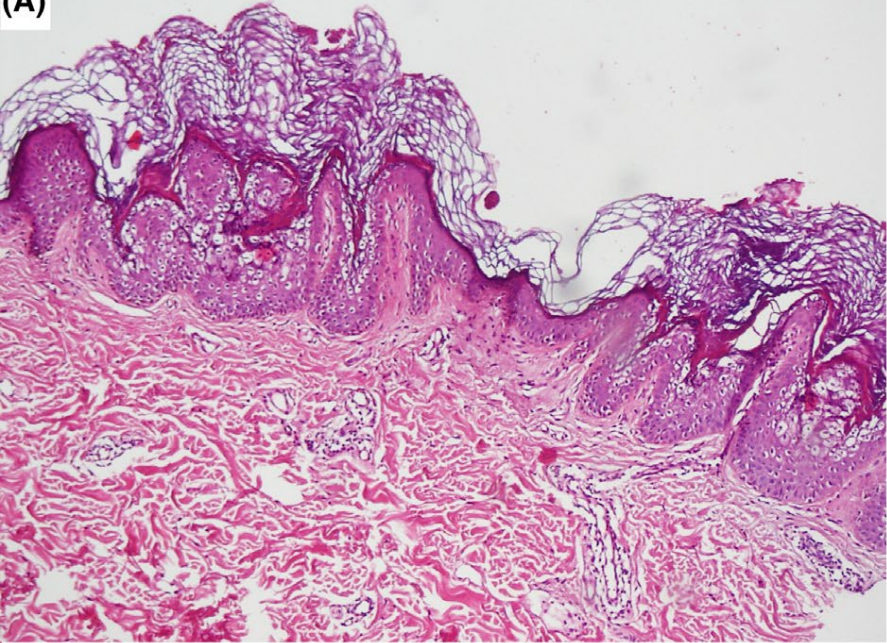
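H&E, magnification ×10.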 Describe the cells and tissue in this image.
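Skin is seen in section, with the epidermis above a pale pink dermis of loosely arranged collagen bundles and a few small vessels. The epidermis forms long projections that dip down into the dermis. The surface is covered by a thick, loose, basket-weave layer of keratin without nuclei, which piles up in mounds. This picture fits elongated rete ridges with orthokeratotic hyperkeratosis.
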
